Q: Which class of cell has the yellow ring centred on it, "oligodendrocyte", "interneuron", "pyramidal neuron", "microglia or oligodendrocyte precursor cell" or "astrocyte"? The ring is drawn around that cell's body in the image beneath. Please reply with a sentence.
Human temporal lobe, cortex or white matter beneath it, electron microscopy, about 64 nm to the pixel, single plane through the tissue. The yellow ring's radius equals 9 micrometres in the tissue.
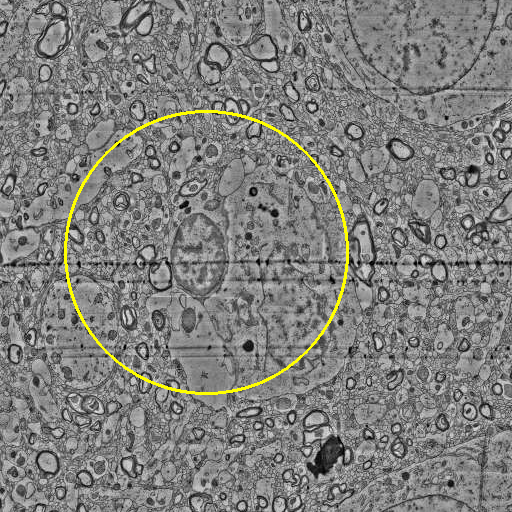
It is centred on an oligodendrocyte.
